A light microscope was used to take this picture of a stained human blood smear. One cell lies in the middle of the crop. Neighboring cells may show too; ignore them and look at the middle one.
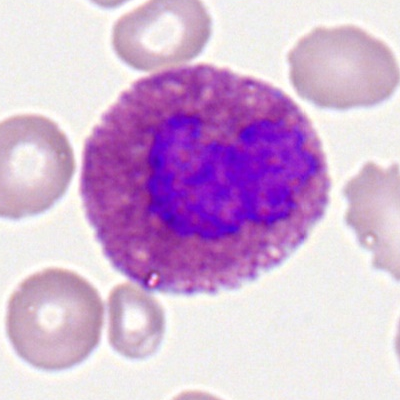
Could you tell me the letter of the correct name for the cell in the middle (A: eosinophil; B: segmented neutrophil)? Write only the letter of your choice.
A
